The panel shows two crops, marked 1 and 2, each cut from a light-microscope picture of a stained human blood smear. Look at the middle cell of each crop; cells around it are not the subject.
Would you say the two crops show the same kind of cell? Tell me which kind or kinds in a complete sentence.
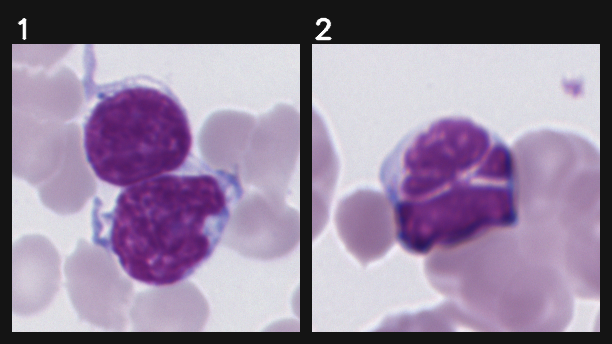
No, crop 1 and crop 2 show a myeloblast and a large granular lymphocyte respectively.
